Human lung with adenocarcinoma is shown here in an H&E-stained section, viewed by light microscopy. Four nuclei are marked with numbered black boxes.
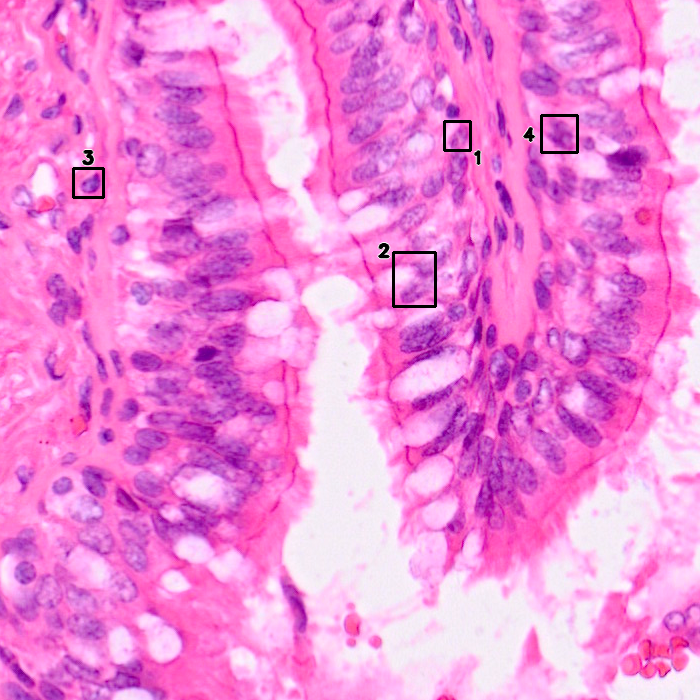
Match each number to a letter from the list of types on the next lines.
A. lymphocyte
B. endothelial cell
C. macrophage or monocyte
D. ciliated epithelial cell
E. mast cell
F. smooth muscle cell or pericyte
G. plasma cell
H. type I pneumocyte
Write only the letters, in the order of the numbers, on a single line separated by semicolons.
D; D; E; D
